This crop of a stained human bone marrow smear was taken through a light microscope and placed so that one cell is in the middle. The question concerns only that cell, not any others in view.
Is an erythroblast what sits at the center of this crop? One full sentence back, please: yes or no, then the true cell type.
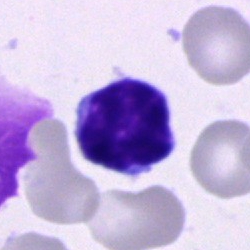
No, the cell in the middle is not an erythroblast but a lymphocyte.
